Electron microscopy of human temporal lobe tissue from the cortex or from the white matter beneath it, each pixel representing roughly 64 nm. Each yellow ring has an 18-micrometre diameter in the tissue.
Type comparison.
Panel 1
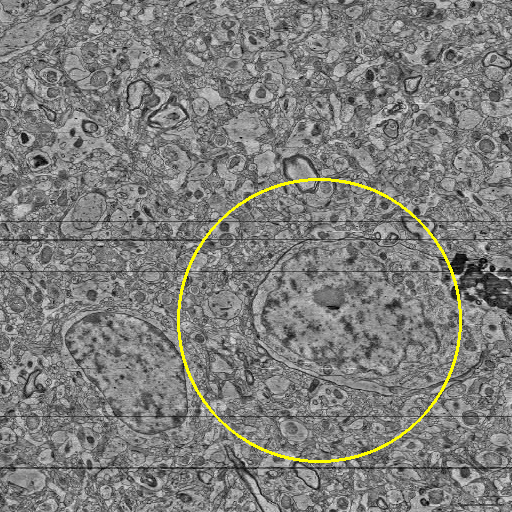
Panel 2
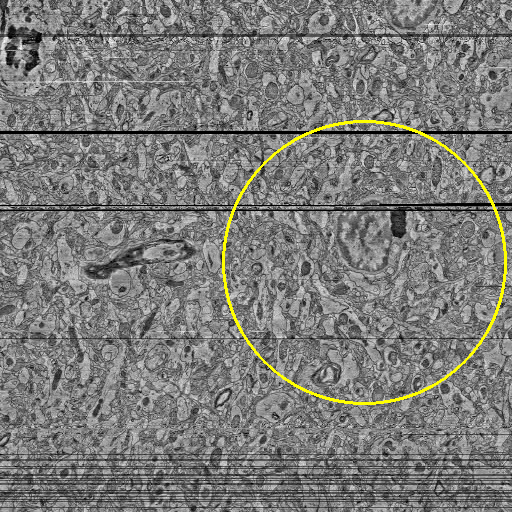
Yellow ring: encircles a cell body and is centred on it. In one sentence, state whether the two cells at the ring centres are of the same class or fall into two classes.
In these panels, the two cells at the ring centres fall into two classes.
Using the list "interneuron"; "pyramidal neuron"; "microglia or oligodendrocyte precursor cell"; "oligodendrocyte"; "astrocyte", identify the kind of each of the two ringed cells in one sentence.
The first is an interneuron and the second is an oligodendrocyte.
